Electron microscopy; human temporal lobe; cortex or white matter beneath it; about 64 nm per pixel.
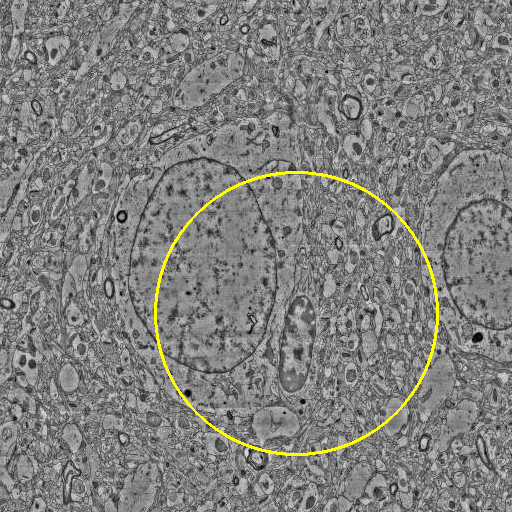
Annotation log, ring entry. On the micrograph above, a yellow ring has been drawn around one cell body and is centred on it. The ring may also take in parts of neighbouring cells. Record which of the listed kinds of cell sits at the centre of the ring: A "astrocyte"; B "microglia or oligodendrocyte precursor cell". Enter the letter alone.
B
